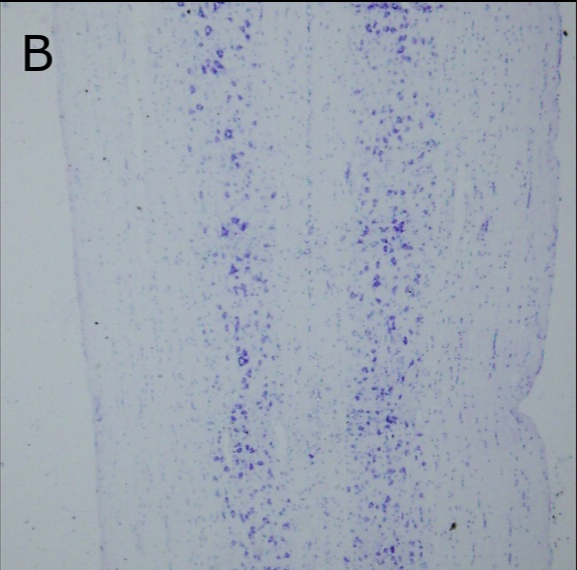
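A horizontal section through the spinal cord shows the anterior horn grey matter as two longitudinal bands of purple-stained cell bodies running along the length of the tissue. The cells within the bands vary in size, with clusters of larger, darker neurons interspersed among smaller cells. Between and beside the bands lies paler tissue with fine longitudinal fibres and sparse small nuclei. The outer edge of the section on the left is smooth and pale, corresponding to the white matter at the surface of the cord.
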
